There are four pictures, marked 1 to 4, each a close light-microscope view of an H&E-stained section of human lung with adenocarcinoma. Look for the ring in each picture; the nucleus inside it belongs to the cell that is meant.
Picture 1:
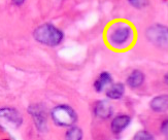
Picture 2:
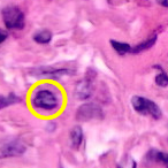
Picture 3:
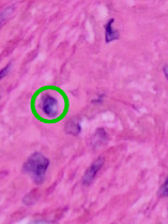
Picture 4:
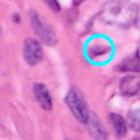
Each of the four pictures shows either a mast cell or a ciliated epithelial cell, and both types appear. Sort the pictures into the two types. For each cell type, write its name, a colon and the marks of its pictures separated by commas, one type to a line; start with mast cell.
mast cell: 1, 2, 3
ciliated epithelial cell: 4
